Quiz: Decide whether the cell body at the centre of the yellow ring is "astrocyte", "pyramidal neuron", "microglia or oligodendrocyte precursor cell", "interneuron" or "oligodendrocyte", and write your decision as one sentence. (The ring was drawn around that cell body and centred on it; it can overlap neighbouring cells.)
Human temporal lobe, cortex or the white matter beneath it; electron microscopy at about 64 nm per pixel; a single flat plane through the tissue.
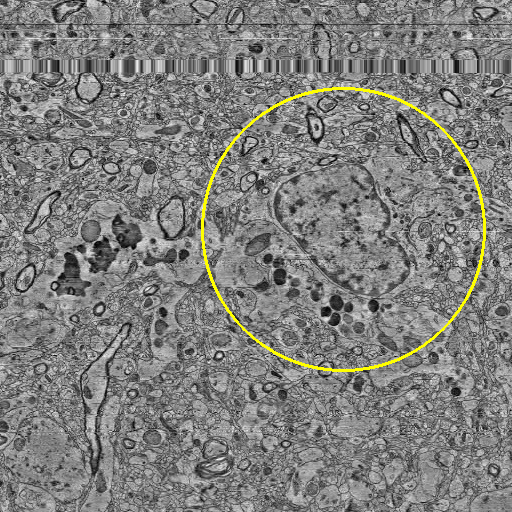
The cell the ring is centred on is a microglial cell or oligodendrocyte precursor cell.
